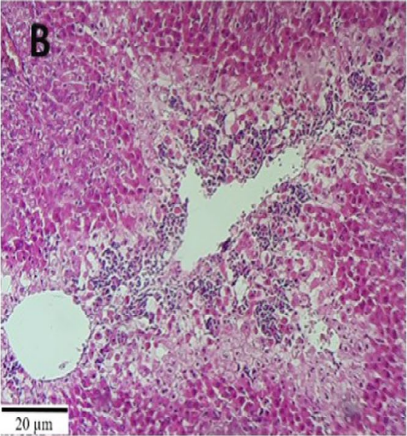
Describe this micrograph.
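This is liver tissue in which the hepatocytes around two vessels are badly damaged. Near the vessels the usual cords of liver cells have come apart, and many cells look pale and cleared out, with empty-looking cytoplasm. Scattered among them are many small, dark blue nuclei in clusters, crowding the damaged zone. Farther away from the vessels the hepatocytes keep more of their pink cytoplasm and a more orderly arrangement.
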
